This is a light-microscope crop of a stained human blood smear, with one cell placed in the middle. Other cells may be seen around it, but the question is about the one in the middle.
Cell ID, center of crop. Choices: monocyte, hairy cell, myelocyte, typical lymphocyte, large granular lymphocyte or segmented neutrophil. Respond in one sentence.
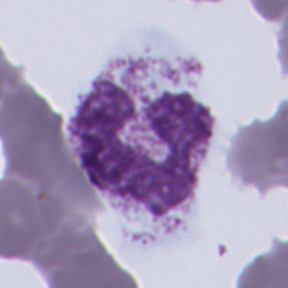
The centrally placed cell is classified as a segmented neutrophil.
